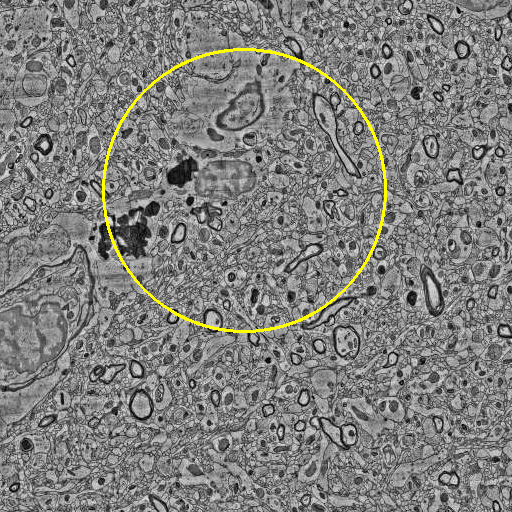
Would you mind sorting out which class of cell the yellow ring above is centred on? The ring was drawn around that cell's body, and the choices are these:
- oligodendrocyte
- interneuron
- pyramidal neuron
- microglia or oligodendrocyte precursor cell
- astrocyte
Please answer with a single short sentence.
This is the cell body of an oligodendrocyte.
